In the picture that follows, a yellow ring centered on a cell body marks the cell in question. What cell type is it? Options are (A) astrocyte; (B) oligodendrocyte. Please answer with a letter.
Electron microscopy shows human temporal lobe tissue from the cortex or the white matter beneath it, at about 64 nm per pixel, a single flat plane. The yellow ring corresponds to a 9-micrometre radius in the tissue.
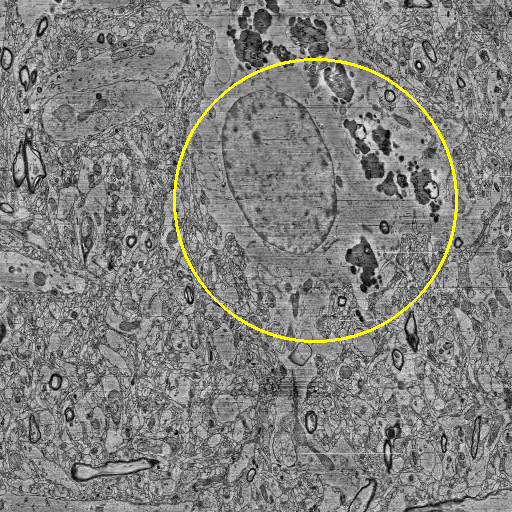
A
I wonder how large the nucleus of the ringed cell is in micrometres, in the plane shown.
About 11 by 7 micrometres, the nucleus being clearly longer than it is wide in this plane.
